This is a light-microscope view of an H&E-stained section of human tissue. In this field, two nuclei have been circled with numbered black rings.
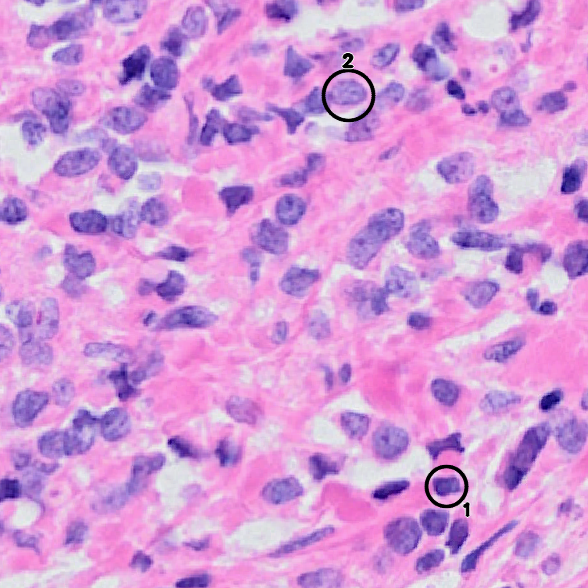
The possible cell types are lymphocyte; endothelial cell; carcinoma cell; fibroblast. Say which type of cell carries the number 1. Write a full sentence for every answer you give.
The nucleus marked 1 is the nucleus of a lymphocyte.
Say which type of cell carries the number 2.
Of the numbered cells, the one labelled 2 is a carcinoma cell.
